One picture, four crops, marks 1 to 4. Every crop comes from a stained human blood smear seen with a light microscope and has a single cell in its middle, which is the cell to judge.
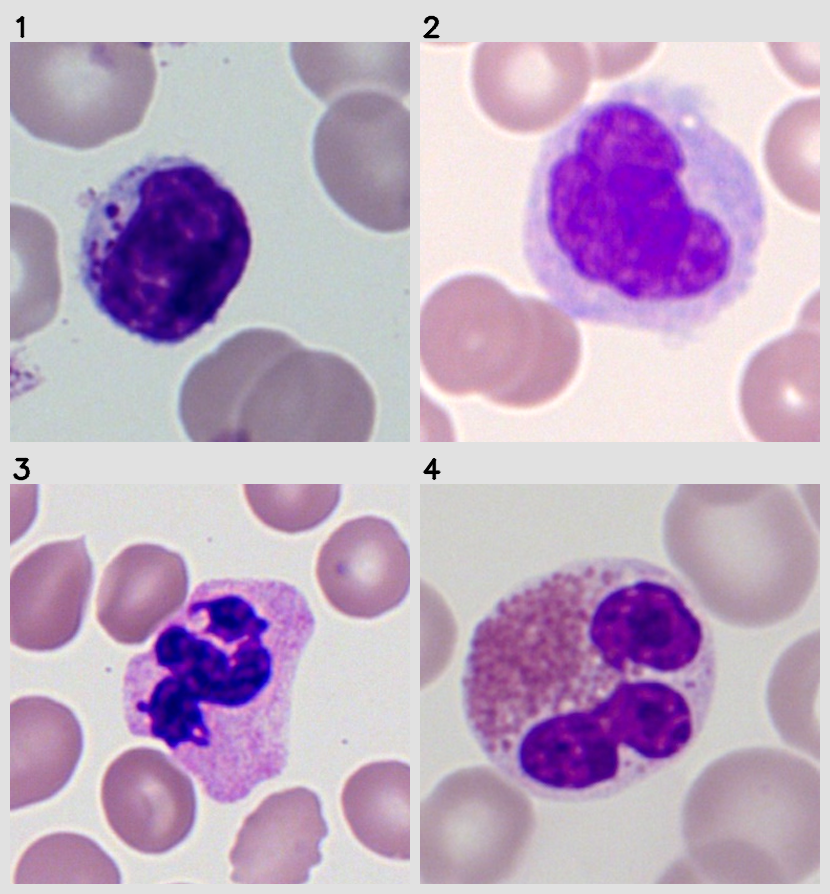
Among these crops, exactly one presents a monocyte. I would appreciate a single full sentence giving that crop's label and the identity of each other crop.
Crop 2 contains a monocyte; meanwhile, crop 1 is a lymphocyte, crop 3 is a neutrophil and crop 4 is an eosinophil.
